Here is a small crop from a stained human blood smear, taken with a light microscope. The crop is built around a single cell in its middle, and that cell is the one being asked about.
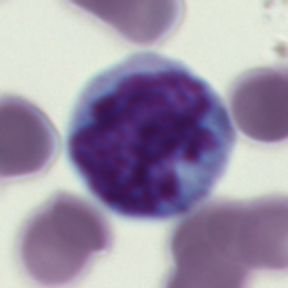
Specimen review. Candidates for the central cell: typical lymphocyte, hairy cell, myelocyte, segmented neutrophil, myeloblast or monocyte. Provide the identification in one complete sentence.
As for the cell in the middle, it is a monocyte.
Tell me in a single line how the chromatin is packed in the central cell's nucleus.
Take a look at the chromatin, which is coarsely clumped.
